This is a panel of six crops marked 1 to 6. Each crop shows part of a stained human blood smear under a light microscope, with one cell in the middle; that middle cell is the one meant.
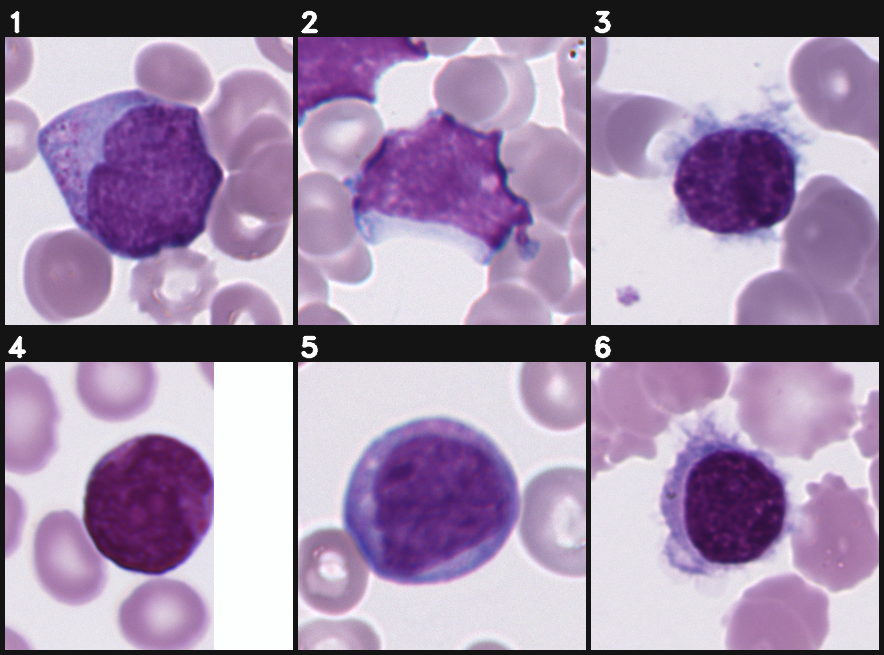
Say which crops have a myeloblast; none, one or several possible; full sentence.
The only crop with a myeloblast at its center is crop 4.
